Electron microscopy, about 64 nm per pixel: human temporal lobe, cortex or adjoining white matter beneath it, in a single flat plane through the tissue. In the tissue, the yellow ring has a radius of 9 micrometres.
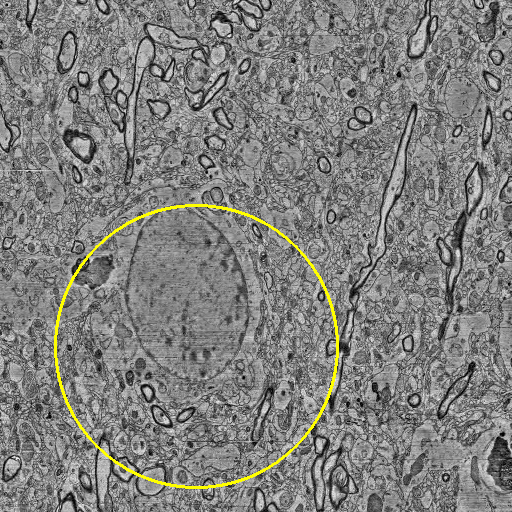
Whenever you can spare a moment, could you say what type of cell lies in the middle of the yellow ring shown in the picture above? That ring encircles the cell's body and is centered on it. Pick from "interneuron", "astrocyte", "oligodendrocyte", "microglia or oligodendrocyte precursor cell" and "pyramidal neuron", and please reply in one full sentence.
The cell whose body sits at the middle of the yellow ring is an astrocyte.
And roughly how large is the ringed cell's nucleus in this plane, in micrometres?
The nucleus works out at approximately 12 by 8 micrometres in this plane.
